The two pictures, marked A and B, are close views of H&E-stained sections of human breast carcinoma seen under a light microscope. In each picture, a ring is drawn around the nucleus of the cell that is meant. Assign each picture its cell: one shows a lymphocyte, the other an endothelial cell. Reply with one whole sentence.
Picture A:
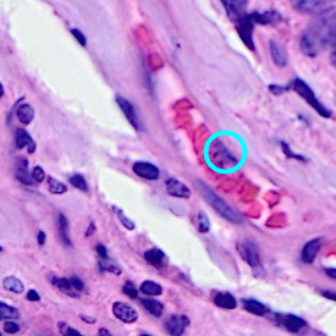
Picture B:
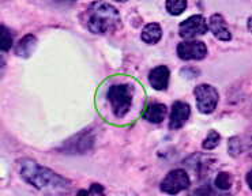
Picture B shows a lymphocyte, while picture A shows an endothelial cell.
